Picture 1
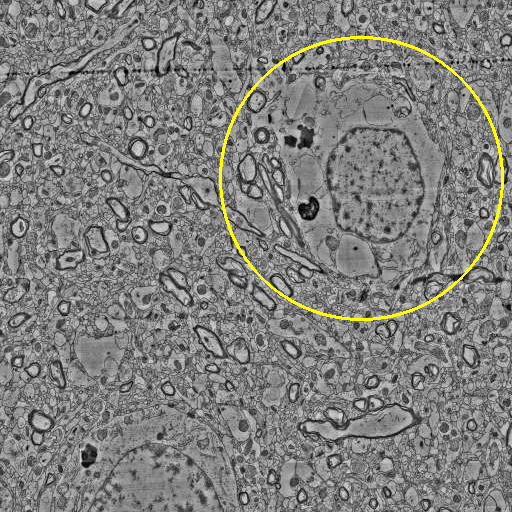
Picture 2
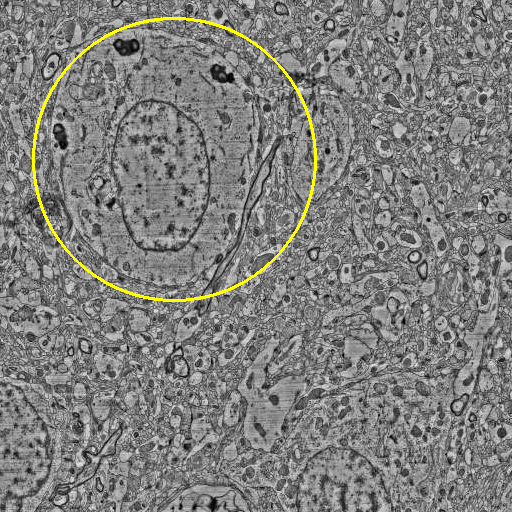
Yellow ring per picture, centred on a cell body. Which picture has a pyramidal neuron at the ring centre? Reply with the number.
2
